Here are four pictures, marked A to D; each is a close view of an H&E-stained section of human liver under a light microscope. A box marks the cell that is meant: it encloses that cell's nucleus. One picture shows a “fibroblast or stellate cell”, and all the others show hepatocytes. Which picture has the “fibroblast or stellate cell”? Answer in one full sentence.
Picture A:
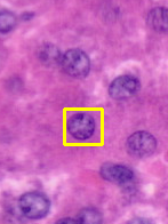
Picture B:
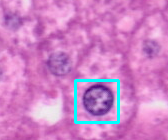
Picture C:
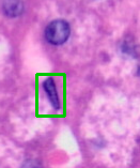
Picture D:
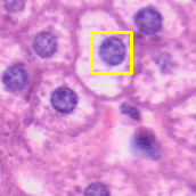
Picture C shows the “fibroblast or stellate cell”.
